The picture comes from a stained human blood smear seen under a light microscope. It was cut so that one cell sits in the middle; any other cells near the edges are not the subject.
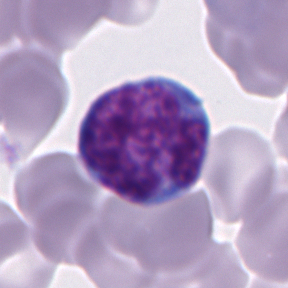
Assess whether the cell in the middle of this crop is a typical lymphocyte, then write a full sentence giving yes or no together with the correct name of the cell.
Yes, in the middle of the crop is a typical lymphocyte.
